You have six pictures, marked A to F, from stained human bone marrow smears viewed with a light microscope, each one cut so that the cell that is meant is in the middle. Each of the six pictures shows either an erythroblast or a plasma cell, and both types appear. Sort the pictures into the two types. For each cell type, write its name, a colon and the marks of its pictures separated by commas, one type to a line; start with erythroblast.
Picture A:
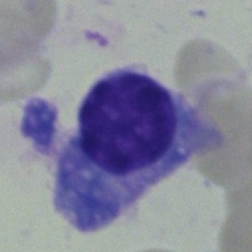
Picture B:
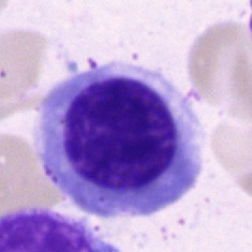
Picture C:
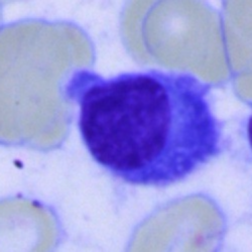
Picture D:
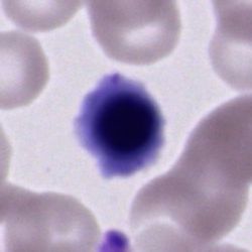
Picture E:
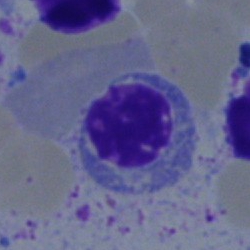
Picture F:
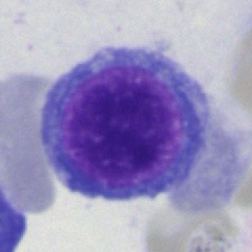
erythroblast: B, D, E, F
plasma cell: A, C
